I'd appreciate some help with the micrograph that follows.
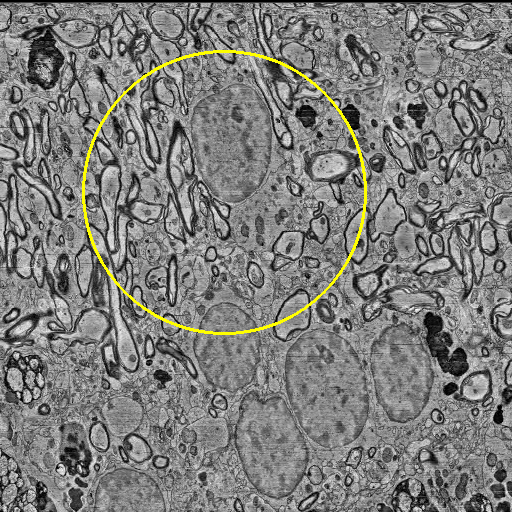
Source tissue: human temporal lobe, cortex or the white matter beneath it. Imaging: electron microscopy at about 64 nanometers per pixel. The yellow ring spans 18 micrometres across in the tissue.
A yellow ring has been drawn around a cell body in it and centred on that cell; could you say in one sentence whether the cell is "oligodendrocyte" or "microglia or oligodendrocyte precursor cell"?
It is an oligodendrocyte at the centre of the ring.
